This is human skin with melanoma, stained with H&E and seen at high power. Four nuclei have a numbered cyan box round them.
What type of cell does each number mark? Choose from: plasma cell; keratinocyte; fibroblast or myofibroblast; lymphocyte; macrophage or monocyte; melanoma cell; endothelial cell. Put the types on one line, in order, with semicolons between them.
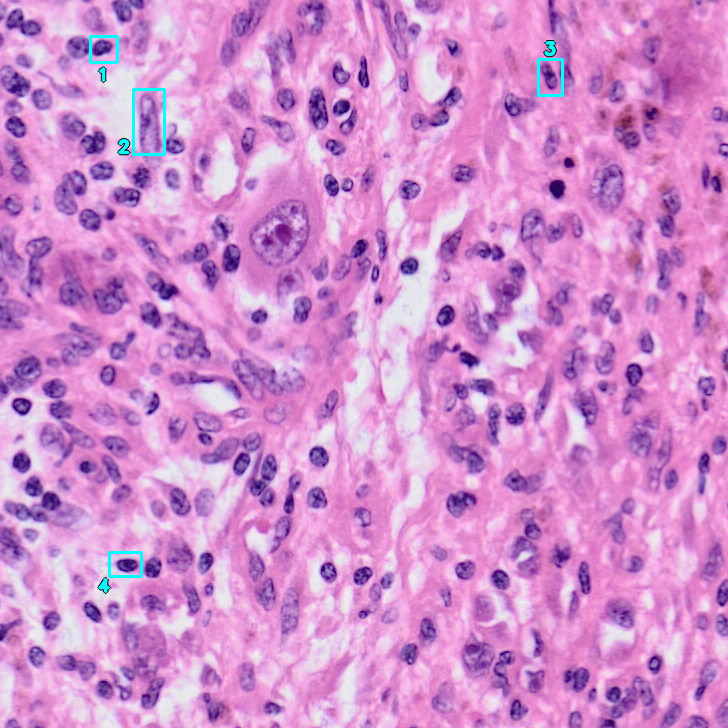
lymphocyte; fibroblast or myofibroblast; lymphocyte; lymphocyte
